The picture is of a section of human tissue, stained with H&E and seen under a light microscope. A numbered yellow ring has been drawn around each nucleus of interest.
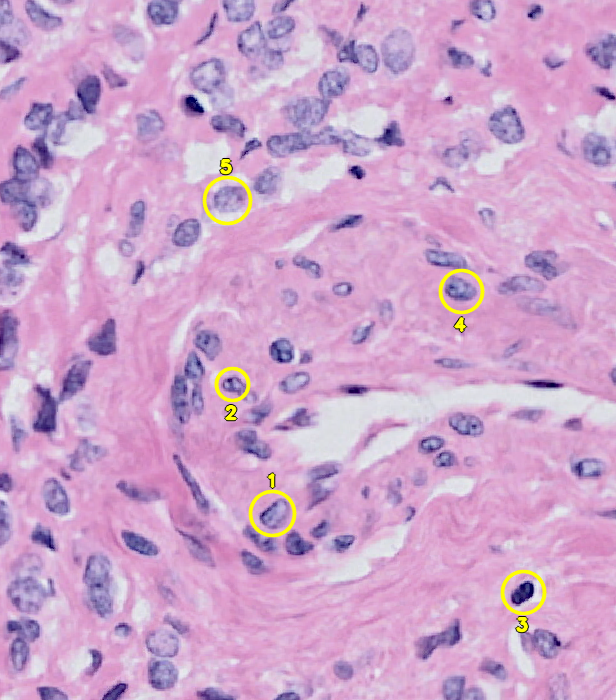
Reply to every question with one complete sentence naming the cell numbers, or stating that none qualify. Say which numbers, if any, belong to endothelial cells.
Cells numbered 1, 2 and 4 belong to the group of endothelial cells.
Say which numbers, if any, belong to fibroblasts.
To be brief, no numbered cell here counts among the fibroblasts.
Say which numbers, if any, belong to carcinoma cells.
The sole numbered cell that is a carcinoma cell is cell 5.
